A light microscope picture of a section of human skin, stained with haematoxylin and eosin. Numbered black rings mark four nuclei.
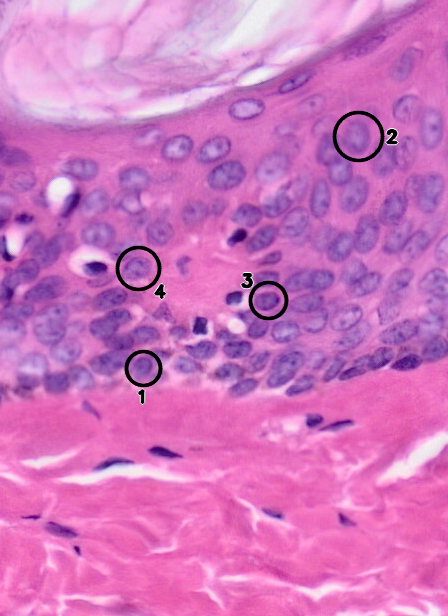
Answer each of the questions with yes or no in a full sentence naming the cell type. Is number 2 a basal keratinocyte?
No, cell 2 is not a basal keratinocyte, but is instead a suprabasal keratinocyte.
